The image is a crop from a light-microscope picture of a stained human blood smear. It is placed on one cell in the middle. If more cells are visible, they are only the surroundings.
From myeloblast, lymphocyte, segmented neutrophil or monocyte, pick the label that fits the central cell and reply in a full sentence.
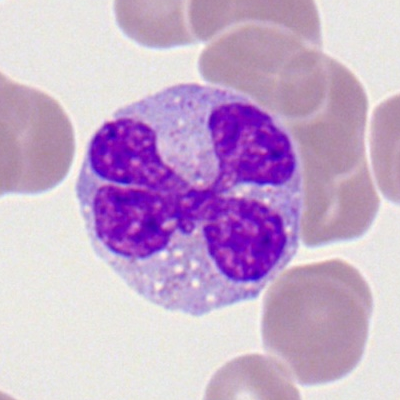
In the centre of this crop there is a monocyte.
